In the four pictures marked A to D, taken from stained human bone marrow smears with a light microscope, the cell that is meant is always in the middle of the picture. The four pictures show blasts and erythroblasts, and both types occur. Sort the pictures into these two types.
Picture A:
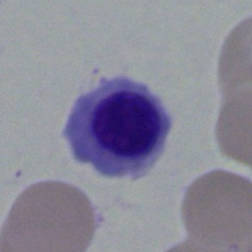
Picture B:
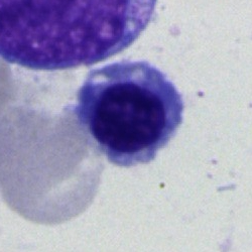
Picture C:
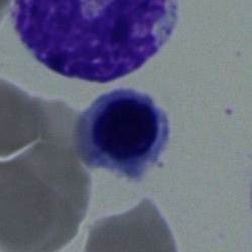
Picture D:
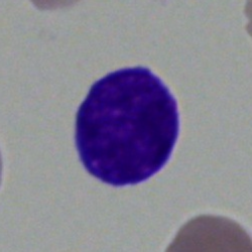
A: erythroblast
B: erythroblast
C: erythroblast
D: blast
